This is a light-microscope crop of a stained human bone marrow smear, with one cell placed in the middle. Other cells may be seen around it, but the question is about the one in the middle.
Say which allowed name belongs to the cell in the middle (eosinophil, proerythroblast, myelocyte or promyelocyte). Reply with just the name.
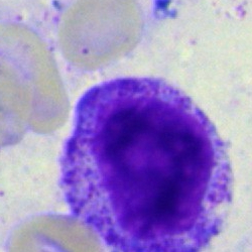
myelocyte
